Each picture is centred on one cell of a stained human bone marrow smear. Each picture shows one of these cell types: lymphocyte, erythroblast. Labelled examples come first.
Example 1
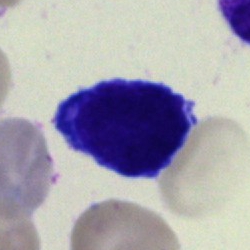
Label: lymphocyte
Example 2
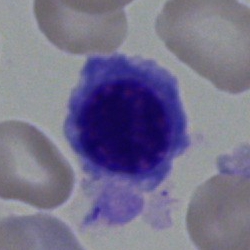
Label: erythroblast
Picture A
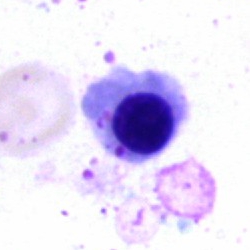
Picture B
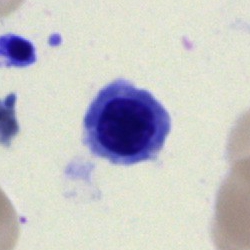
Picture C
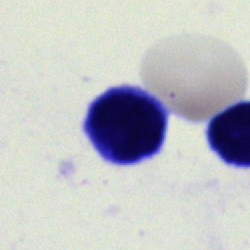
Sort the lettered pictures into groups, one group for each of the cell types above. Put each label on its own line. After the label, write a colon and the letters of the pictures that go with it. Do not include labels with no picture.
lymphocyte: C
erythroblast: A, B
